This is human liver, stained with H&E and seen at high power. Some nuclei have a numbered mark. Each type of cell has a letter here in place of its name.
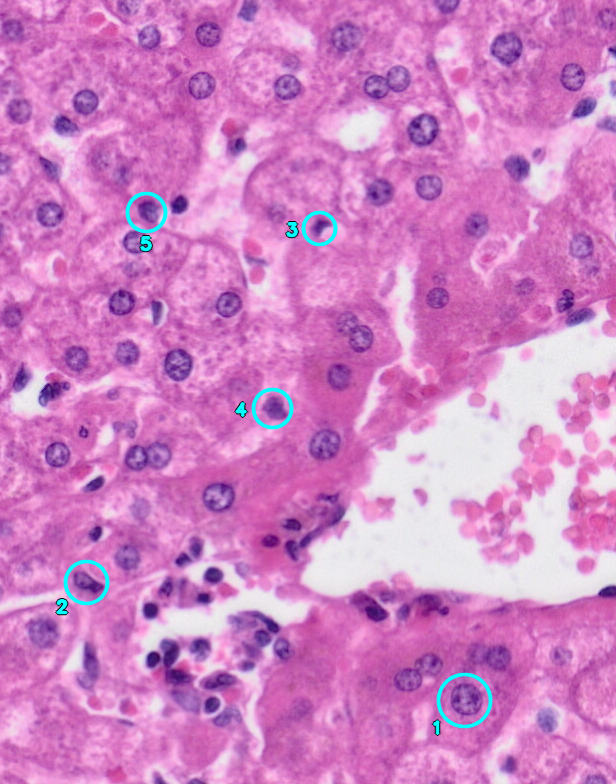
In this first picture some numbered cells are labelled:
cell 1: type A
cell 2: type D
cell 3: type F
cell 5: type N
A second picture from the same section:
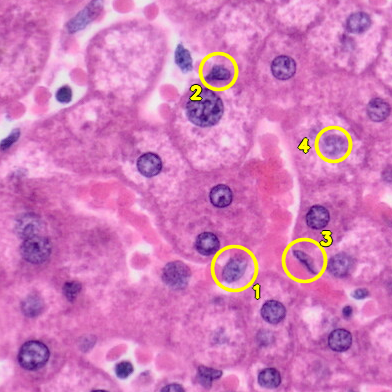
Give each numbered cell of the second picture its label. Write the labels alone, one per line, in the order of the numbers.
type D
type N
type F
type A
